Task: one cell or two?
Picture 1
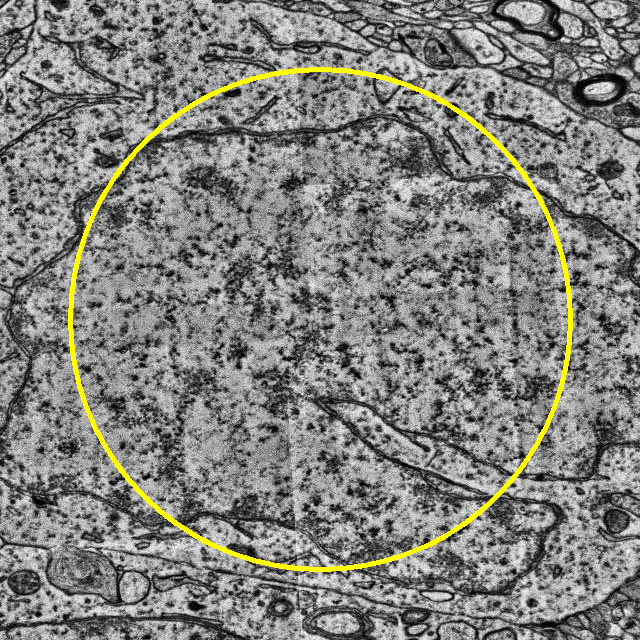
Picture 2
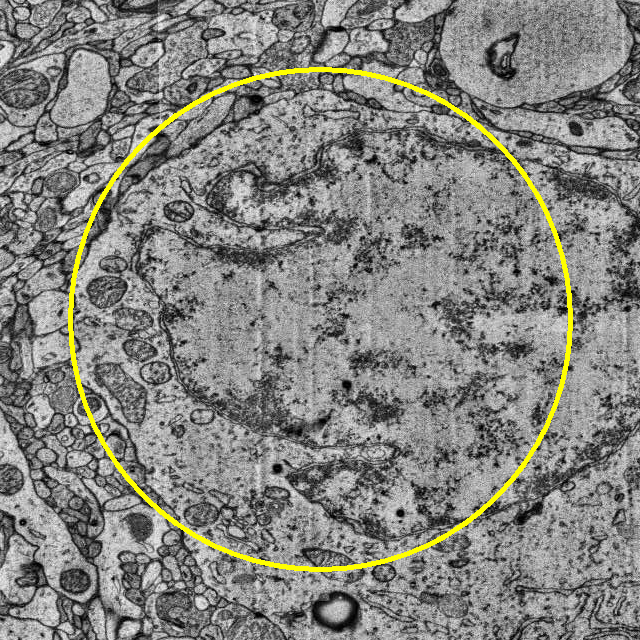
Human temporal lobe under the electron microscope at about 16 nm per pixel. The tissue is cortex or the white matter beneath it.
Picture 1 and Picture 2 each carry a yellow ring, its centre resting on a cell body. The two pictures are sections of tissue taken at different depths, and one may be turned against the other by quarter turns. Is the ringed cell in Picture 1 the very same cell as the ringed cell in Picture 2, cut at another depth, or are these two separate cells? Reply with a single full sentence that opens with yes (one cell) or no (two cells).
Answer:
No, the two rings do not mark one cell; they mark two different cells.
